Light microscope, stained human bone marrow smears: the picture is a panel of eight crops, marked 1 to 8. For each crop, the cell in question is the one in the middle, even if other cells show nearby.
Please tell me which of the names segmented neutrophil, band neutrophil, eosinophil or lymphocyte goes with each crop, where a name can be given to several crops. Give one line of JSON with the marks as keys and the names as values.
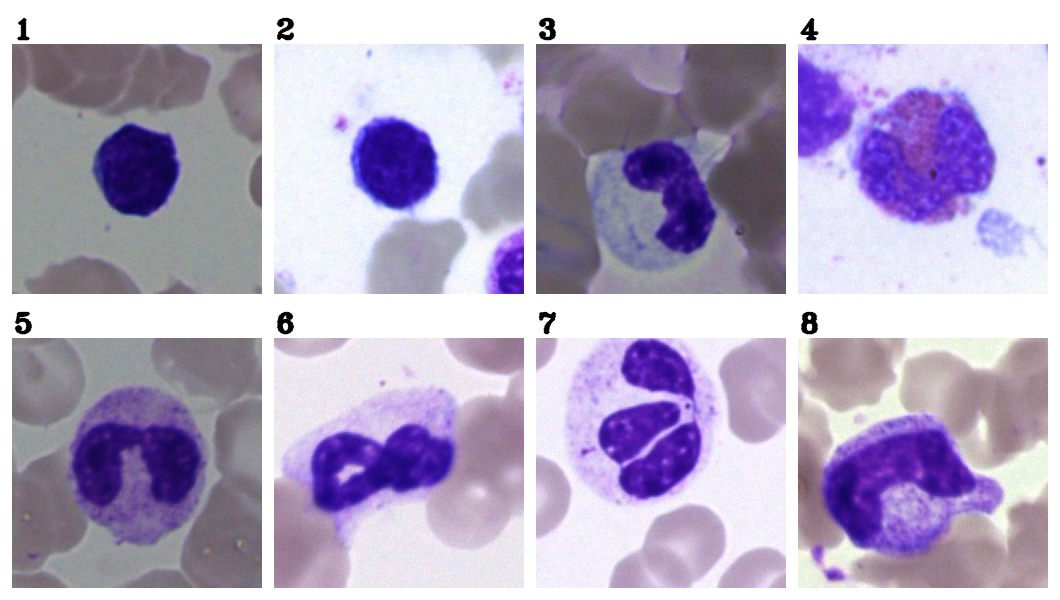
{"1": "lymphocyte", "2": "lymphocyte", "3": "band neutrophil", "4": "eosinophil", "5": "segmented neutrophil", "6": "segmented neutrophil", "7": "segmented neutrophil", "8": "band neutrophil"}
